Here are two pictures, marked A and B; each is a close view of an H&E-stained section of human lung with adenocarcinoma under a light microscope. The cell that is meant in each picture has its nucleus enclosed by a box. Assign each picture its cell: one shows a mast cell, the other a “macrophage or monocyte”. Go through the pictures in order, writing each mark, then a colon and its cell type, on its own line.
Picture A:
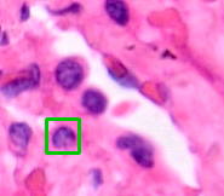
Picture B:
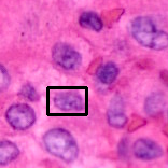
A: mast cell
B: macrophage or monocyte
